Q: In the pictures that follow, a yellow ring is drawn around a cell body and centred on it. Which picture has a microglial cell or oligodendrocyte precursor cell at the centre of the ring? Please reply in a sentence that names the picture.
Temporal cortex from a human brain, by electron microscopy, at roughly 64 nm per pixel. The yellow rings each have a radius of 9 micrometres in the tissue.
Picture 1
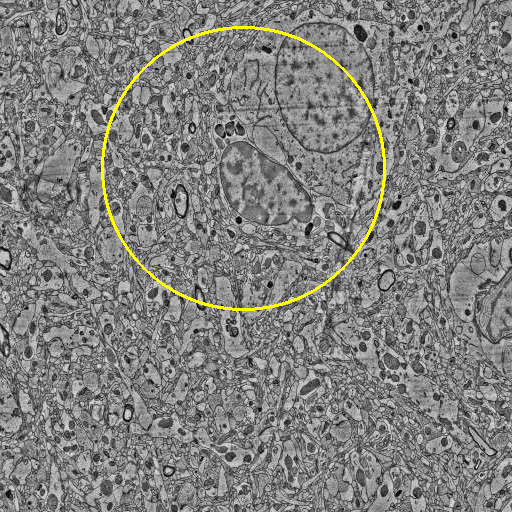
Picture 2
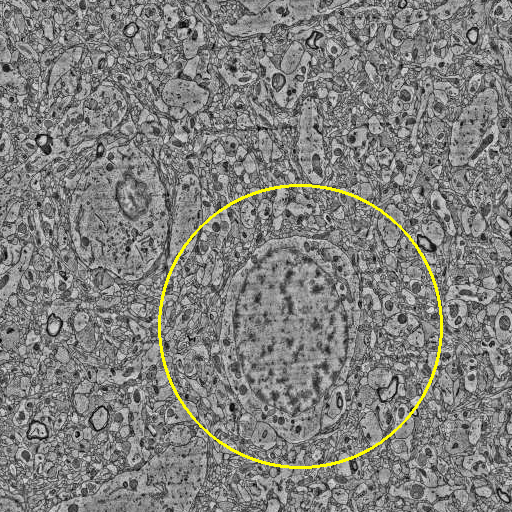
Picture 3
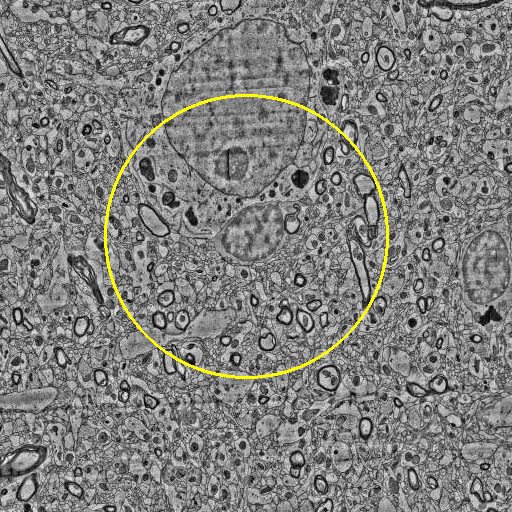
Picture 1 shows it at the centre of its ring.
